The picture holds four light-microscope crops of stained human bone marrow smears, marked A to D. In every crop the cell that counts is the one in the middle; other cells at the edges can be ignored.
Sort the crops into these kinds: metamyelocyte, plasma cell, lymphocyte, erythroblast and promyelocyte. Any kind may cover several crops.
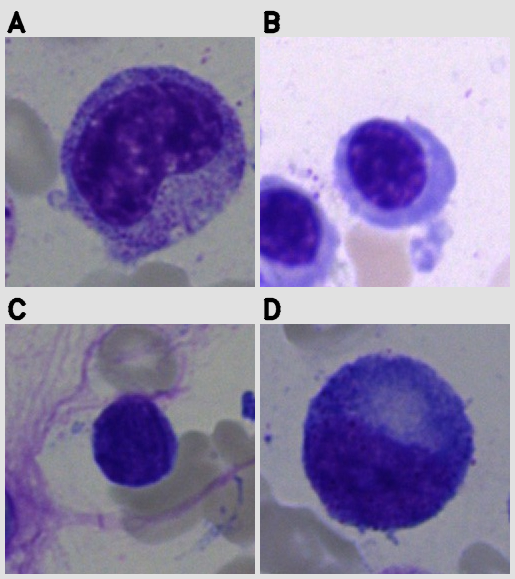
A: metamyelocyte
B: erythroblast
C: lymphocyte
D: promyelocyte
